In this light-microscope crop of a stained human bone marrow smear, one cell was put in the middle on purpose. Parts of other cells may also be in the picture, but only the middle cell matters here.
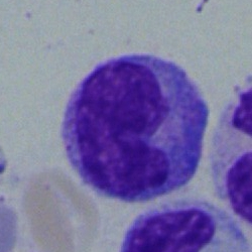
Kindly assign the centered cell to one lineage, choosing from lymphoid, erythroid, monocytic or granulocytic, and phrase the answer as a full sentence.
The cell at the crop's center sits within the monocytic lineage.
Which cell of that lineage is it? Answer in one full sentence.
The cell found in the middle of this crop is a monocyte.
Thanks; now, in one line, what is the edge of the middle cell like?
A smooth, projection-free outline is what this cell has.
